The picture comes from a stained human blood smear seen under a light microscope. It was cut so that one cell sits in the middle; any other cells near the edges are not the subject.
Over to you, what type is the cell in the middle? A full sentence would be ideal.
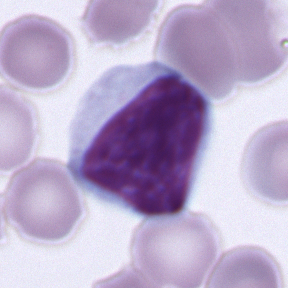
The middle position in this crop is taken by a typical lymphocyte.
